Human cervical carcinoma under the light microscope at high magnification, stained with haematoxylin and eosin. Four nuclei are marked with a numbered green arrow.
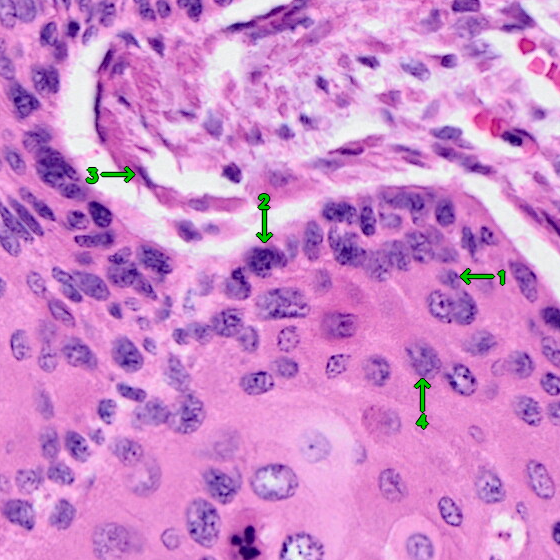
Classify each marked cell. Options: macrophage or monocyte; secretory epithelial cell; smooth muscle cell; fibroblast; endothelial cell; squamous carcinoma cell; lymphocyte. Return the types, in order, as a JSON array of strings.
["squamous carcinoma cell", "squamous carcinoma cell", "fibroblast", "squamous carcinoma cell"]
